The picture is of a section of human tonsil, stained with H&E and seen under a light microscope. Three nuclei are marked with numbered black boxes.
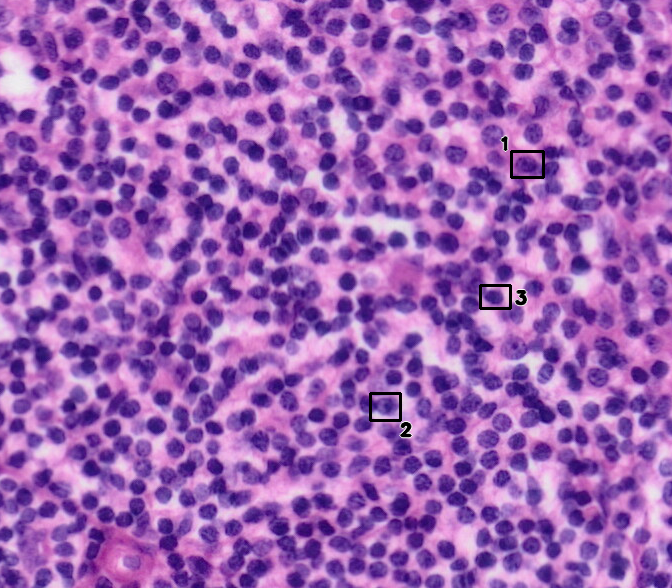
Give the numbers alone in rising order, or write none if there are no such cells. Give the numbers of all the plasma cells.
1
